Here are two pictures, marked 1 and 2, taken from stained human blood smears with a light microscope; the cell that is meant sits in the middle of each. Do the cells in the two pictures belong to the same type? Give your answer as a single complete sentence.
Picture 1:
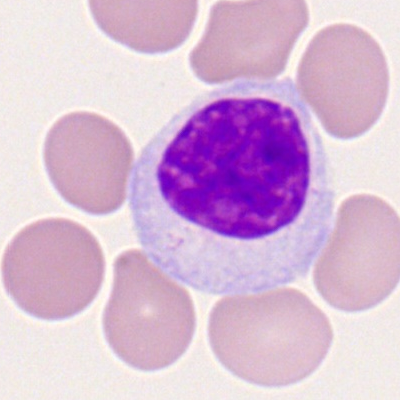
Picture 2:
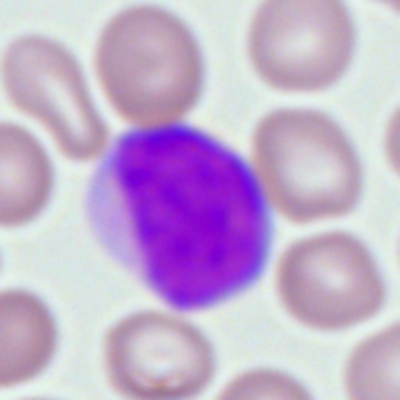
No, picture 1 shows a lymphocyte and picture 2 shows a myeloblast.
